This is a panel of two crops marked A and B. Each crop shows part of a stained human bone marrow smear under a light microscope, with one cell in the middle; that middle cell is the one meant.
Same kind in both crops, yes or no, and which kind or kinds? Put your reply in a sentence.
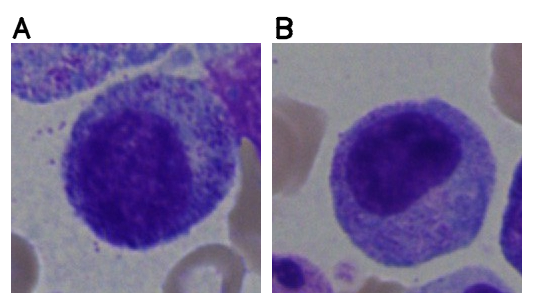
Yes, both crops feature myelocytes at the centre.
